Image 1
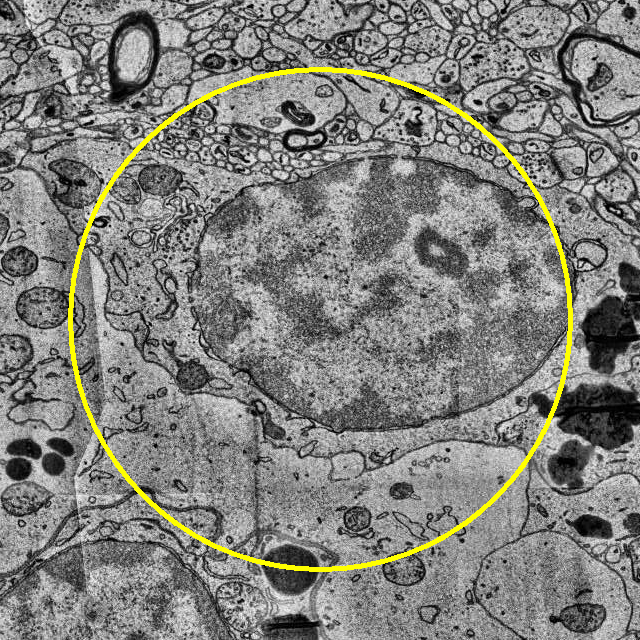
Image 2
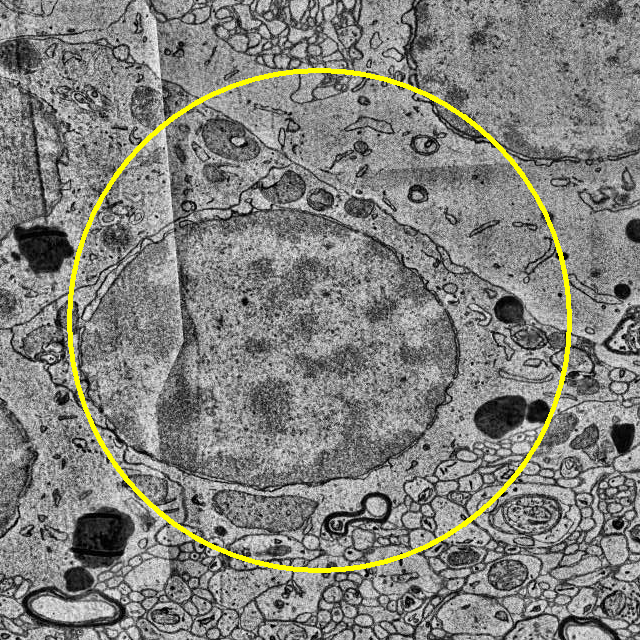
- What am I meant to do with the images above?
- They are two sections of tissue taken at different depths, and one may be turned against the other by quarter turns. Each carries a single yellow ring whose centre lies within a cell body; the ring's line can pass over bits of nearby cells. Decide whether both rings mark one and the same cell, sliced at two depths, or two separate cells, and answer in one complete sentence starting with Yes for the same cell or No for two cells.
Yes, the same cell turns up inside each of the two rings.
